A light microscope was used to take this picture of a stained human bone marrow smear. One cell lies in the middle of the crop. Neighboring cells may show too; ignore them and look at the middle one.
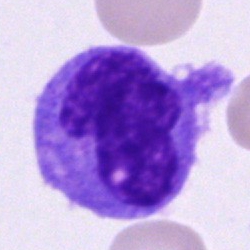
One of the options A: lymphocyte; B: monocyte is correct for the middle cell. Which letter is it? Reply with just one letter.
B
